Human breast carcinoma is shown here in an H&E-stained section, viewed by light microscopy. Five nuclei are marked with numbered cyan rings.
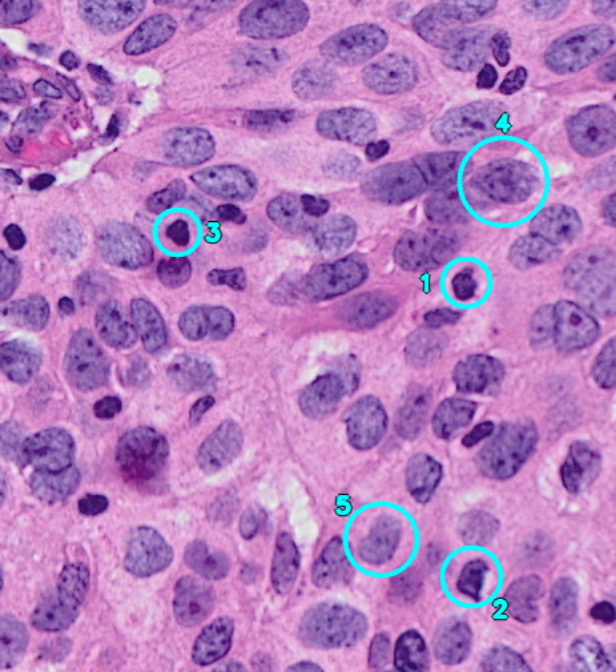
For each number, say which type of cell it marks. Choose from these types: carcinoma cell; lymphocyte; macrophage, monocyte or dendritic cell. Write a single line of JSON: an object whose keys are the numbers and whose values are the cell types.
{"1": "lymphocyte", "2": "carcinoma cell", "3": "lymphocyte", "4": "carcinoma cell", "5": "carcinoma cell"}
